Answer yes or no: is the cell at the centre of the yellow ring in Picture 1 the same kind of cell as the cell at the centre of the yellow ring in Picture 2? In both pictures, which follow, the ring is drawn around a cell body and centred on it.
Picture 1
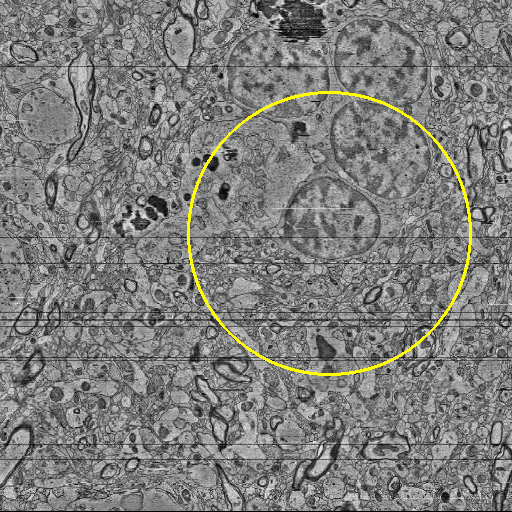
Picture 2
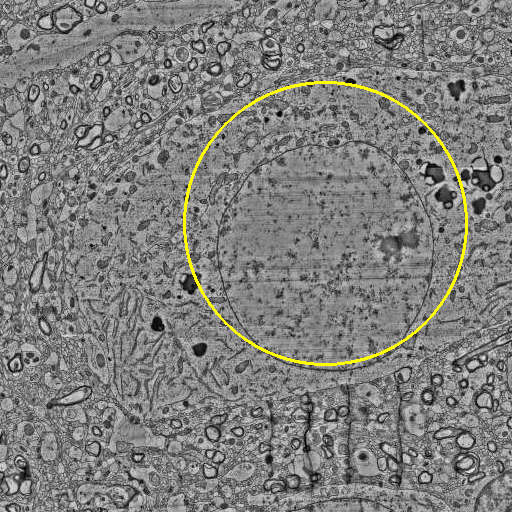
no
